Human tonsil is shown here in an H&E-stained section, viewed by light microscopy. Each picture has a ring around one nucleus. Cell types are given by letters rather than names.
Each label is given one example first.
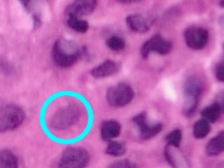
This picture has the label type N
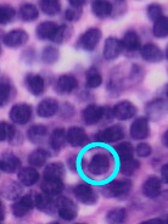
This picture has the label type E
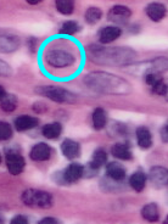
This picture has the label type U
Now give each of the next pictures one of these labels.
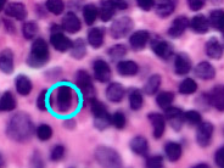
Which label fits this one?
type E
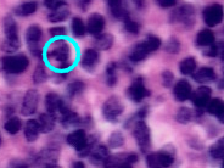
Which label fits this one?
type E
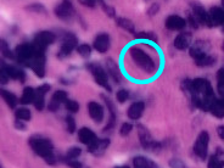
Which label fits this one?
type U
